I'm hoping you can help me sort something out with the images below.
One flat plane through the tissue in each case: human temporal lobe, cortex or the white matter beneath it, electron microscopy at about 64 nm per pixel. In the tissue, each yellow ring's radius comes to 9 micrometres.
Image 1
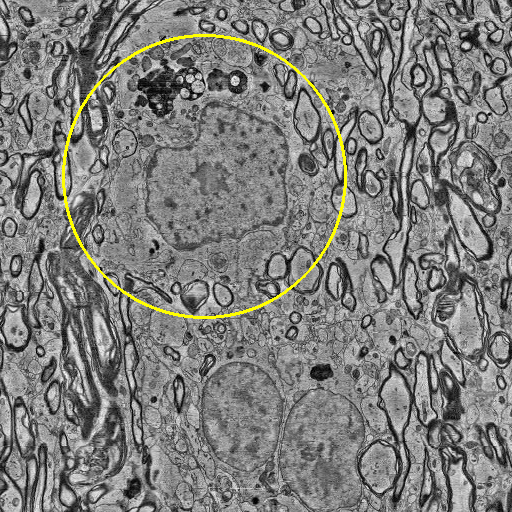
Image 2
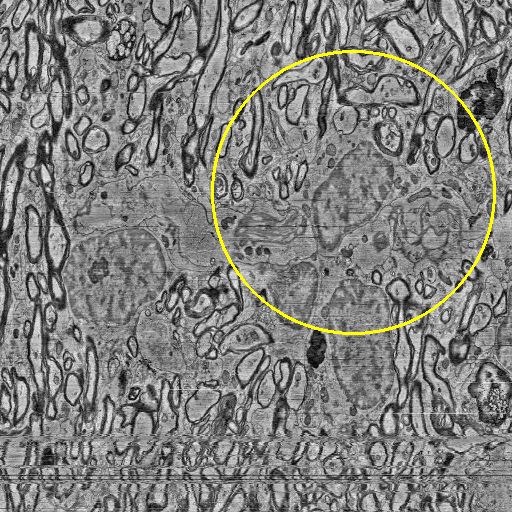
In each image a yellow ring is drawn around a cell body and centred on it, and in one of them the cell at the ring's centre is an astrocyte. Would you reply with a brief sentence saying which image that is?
In Image 1, the cell at the centre of the ring is the one you asked about.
